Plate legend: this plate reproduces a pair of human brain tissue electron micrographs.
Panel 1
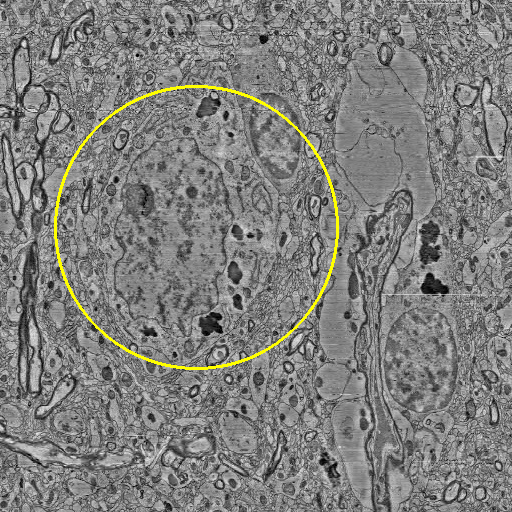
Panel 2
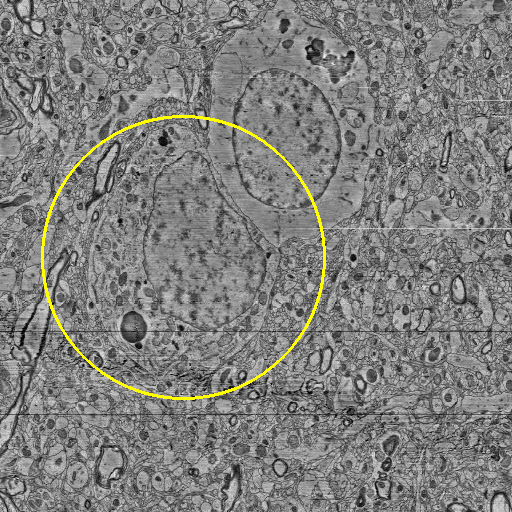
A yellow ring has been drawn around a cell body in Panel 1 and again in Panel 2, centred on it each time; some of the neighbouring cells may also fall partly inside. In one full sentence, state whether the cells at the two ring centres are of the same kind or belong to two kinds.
The ring-centred cells of Panel 1 and Panel 2 are of the same kind.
